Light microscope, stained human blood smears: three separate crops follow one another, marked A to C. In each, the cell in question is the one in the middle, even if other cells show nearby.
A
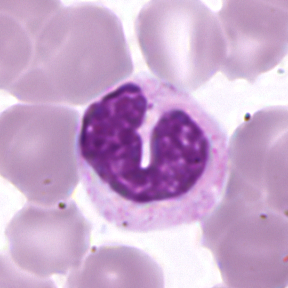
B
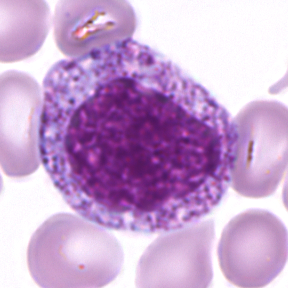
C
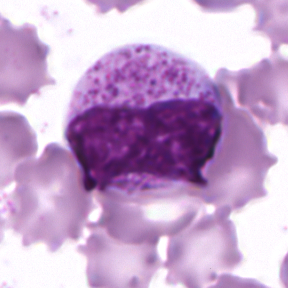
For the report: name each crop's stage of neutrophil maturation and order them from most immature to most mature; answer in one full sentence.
Along the maturation line, from least to most mature, sit crop B (a myelocyte), crop C (a metamyelocyte) and crop A (a band neutrophil).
